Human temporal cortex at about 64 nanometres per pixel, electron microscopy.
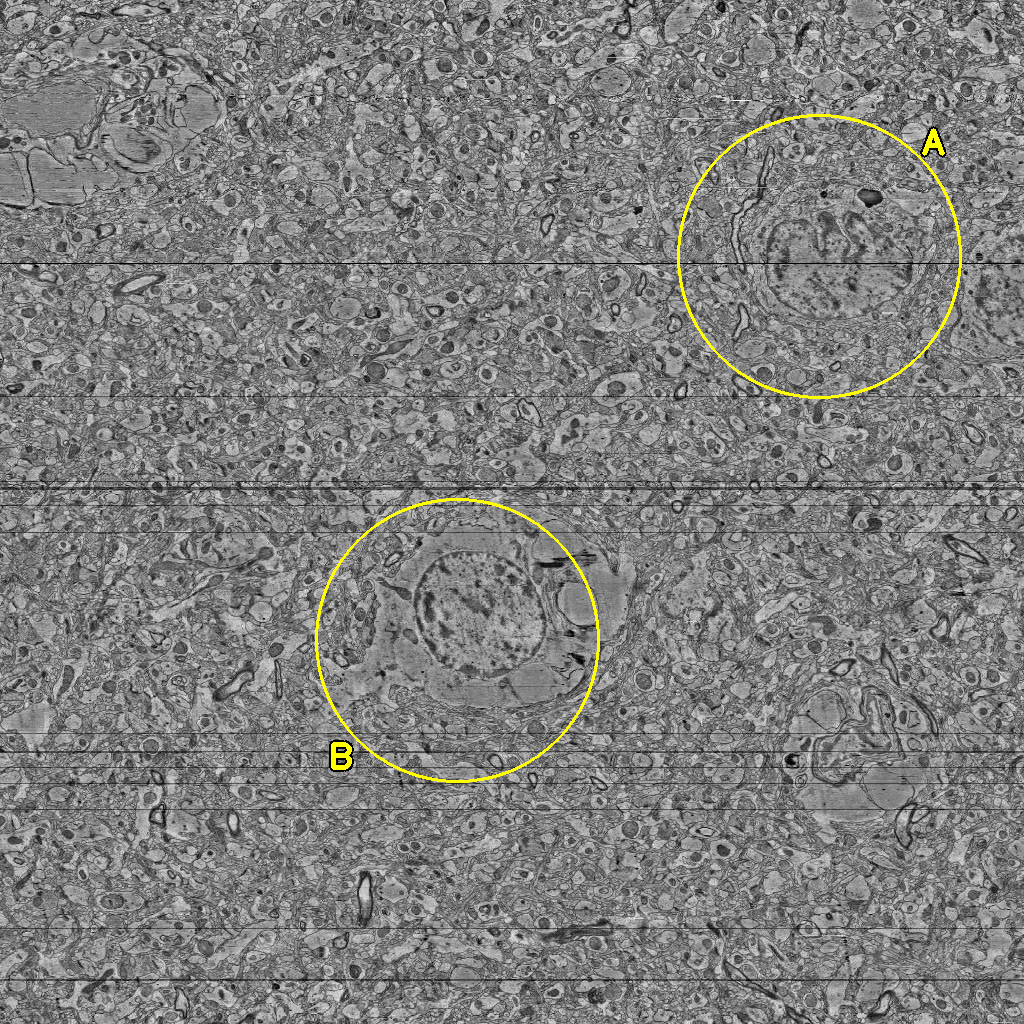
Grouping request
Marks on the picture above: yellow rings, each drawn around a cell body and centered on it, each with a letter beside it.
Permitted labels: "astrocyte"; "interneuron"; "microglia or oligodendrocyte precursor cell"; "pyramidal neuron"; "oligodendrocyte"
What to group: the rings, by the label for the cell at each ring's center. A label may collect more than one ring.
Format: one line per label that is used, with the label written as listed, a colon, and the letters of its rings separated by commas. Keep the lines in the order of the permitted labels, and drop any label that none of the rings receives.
astrocyte: B
interneuron: A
